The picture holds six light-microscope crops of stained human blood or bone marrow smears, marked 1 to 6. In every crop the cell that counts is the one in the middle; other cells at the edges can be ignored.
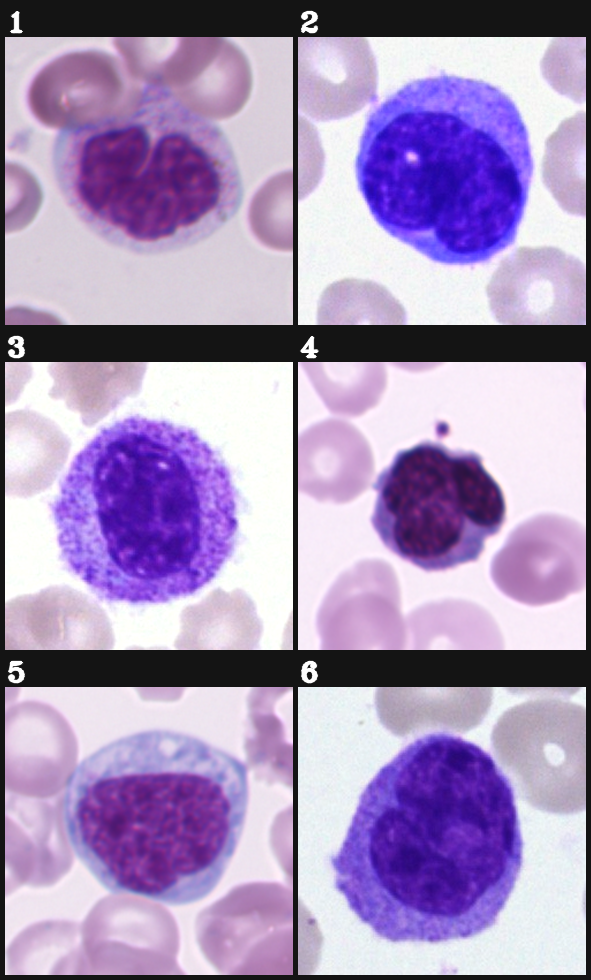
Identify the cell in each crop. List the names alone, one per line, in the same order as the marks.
band neutrophil
monocyte
myelocyte
monocyte
monocyte
monocyte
